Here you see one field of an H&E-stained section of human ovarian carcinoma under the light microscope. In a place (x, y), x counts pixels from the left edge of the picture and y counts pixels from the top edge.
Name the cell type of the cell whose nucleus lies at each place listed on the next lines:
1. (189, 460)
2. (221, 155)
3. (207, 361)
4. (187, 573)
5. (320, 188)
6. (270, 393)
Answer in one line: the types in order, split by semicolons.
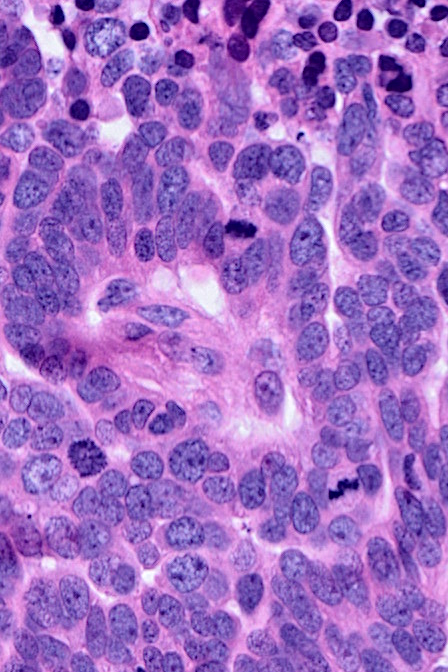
carcinoma cell; carcinoma cell; fibroblast; carcinoma cell; carcinoma cell; fibroblast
